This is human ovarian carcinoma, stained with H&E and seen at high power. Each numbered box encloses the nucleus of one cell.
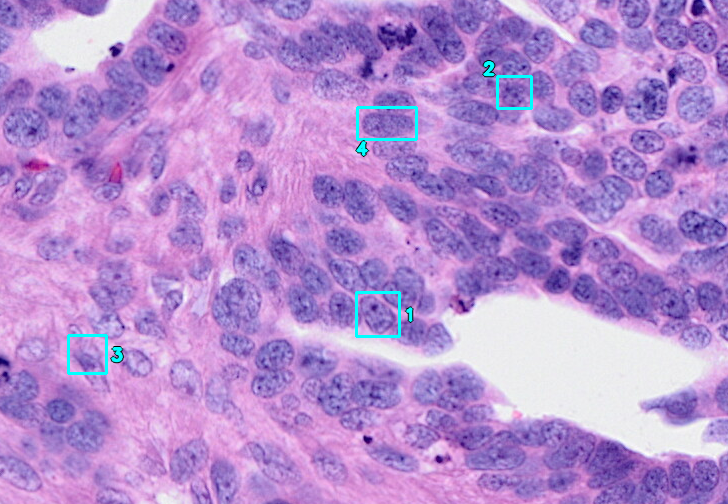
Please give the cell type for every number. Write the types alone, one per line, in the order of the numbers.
carcinoma cell
carcinoma cell
fibroblast
carcinoma cell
